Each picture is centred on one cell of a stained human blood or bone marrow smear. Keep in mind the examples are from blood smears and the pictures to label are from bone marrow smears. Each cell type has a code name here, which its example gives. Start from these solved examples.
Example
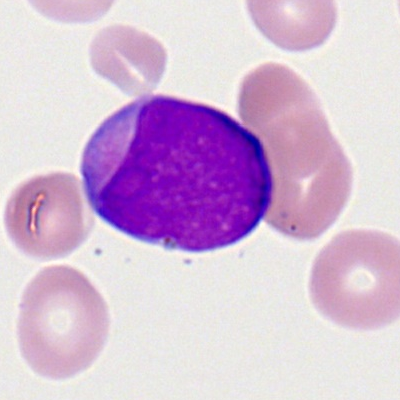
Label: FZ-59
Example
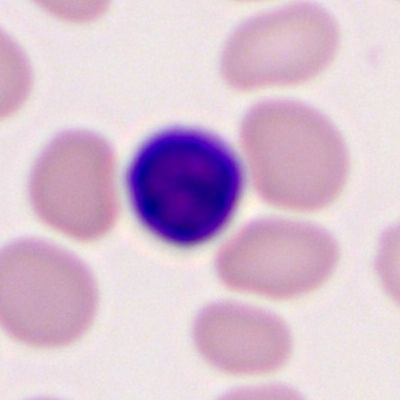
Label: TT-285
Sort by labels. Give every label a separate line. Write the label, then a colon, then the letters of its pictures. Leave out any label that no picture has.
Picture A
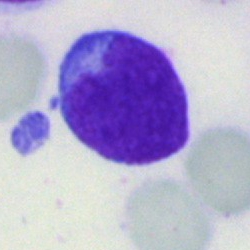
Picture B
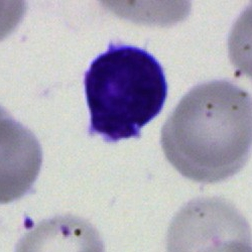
FZ-59: A, B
